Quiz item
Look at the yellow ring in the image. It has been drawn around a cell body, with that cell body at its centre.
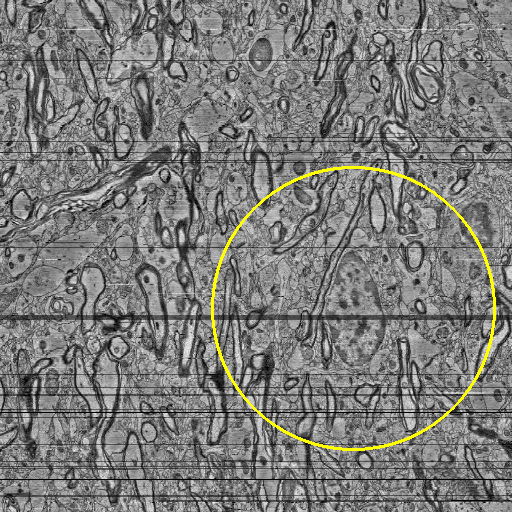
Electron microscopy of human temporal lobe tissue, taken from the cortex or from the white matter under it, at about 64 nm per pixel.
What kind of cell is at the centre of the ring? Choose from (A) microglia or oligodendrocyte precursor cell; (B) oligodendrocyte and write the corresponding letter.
A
